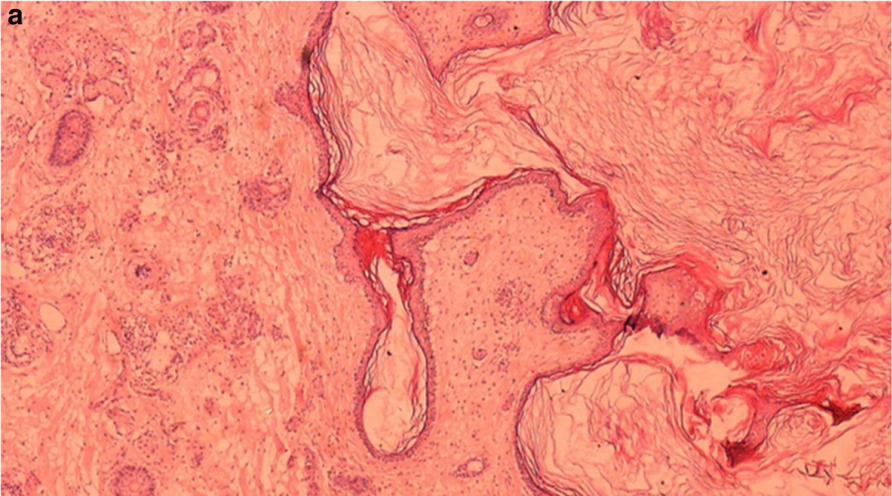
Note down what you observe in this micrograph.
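Cyst lined by stratified squamous epithelium with keratin in the lumen. A band of several cell layers outlines irregular cavities, and the cavities hold loose, wavy, laminated pale pink material. Beside the lining lies pink connective tissue with scattered small round structures and clear vacuolated spaces.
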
